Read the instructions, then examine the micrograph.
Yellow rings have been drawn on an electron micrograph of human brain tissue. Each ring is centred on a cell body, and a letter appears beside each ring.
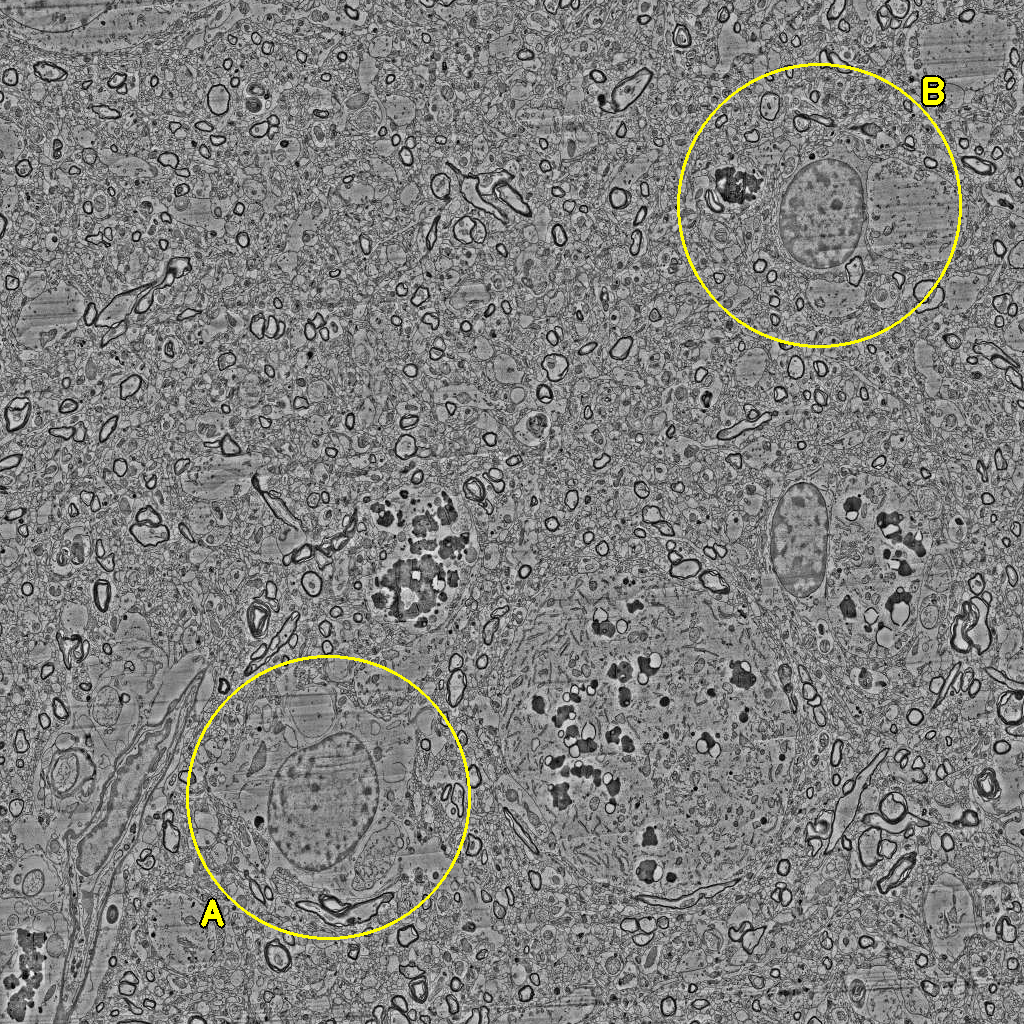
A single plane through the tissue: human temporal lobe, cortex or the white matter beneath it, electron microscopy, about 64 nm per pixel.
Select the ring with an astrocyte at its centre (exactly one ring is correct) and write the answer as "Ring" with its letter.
Ring A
